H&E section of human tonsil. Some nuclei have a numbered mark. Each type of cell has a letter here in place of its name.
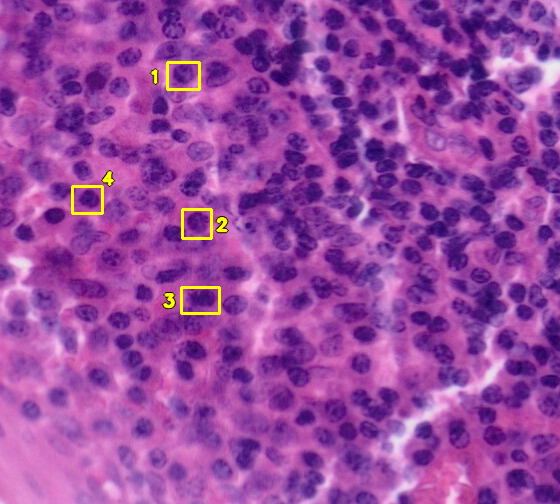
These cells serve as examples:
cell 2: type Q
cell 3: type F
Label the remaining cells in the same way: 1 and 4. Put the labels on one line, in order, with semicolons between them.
type Q; type Q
